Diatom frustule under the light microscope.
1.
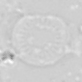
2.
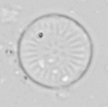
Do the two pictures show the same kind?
No: Cyclotella, then Discostella.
